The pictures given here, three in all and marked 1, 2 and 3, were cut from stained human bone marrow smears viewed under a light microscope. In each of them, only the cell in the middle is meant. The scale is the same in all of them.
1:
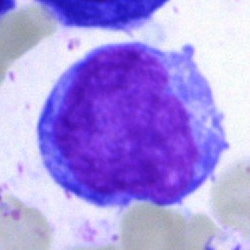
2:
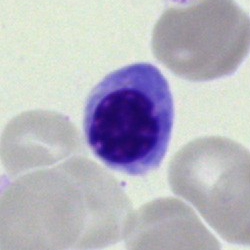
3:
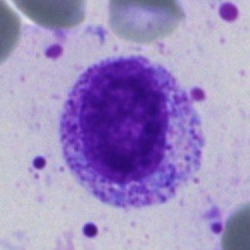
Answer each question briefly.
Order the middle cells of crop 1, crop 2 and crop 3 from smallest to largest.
2, 3, 1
